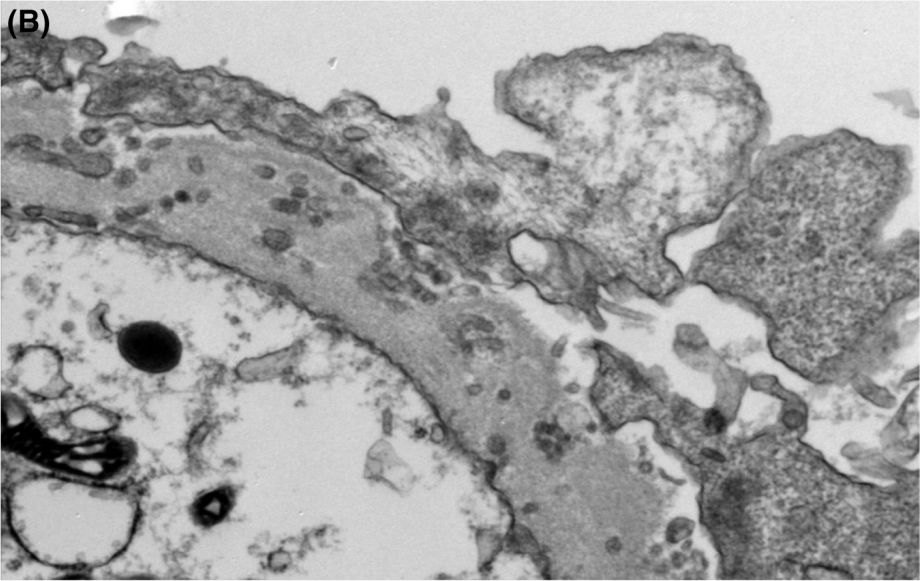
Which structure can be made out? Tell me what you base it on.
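Small round membrane-bound profiles lie inside the grey band. Some of the round profiles are clustered together. That points to this answer: embedded aggregates of spherical structures.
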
